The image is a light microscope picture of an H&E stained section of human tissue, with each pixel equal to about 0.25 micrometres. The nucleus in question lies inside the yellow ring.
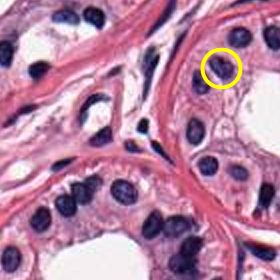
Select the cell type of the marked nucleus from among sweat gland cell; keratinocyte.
sweat gland cell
